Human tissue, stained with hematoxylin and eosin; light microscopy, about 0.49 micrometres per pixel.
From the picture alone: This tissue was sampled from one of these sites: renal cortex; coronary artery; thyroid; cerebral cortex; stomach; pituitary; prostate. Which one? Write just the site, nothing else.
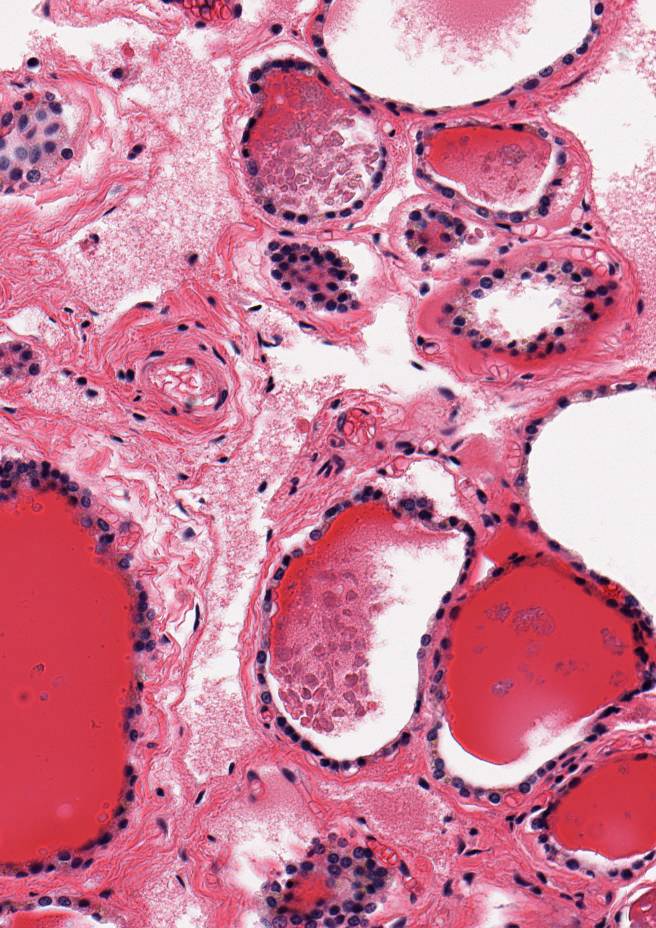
thyroid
